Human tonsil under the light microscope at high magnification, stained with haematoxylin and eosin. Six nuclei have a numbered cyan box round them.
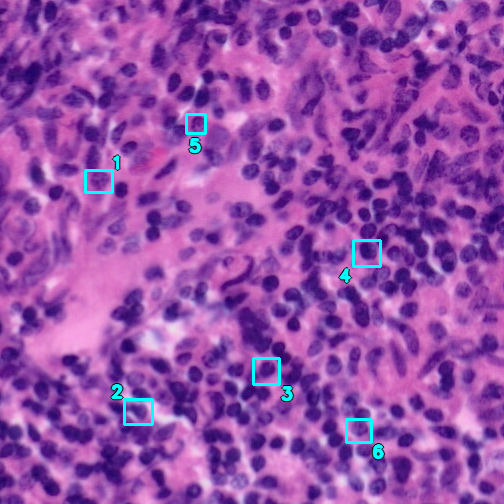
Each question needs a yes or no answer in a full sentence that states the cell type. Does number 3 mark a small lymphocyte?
Yes, the cell with the number 3 is a small lymphocyte.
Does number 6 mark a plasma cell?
No, cell 6 is not a plasma cell: it is a small lymphocyte.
